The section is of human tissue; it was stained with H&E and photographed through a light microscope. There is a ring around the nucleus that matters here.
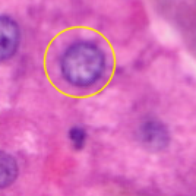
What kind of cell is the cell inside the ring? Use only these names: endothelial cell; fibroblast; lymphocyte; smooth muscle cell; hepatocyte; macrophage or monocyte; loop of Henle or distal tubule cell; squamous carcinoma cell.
hepatocyte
